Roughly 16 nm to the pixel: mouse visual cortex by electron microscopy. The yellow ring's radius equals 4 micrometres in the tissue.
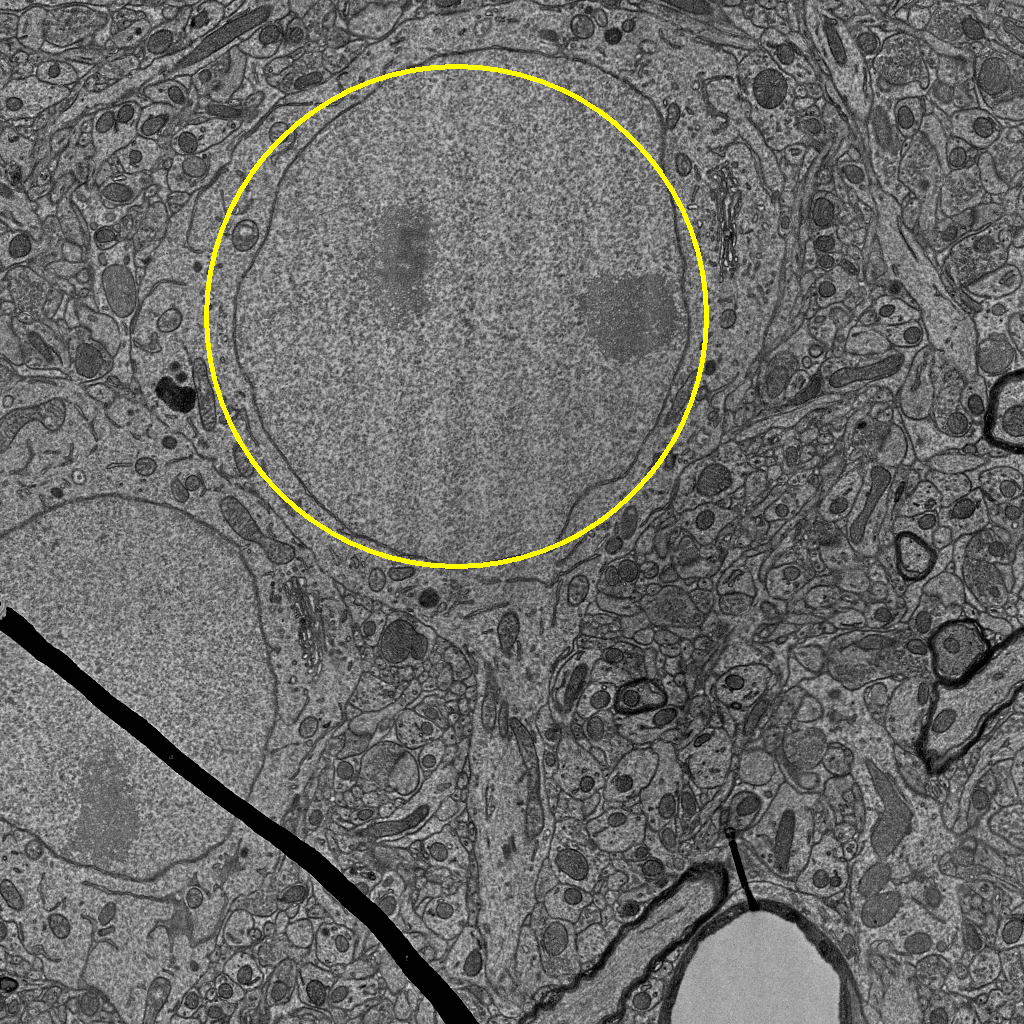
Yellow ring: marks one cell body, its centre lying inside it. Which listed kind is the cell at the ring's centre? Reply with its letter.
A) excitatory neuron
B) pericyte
A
